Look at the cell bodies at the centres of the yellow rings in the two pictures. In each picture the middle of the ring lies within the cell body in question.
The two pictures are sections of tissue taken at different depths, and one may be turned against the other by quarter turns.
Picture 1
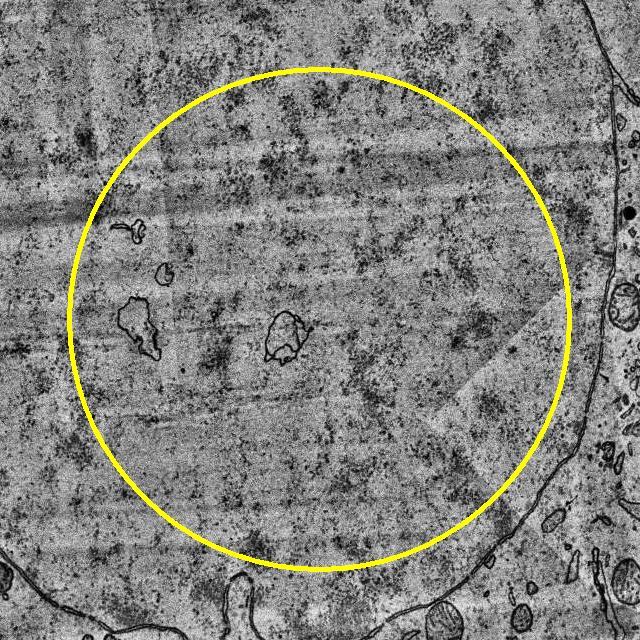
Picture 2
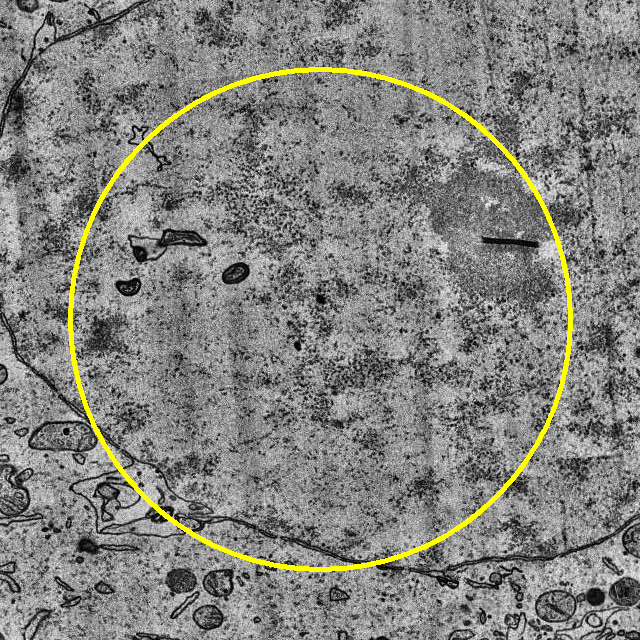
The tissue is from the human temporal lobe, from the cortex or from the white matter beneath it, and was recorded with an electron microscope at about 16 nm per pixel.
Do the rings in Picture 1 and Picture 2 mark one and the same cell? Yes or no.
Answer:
yes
